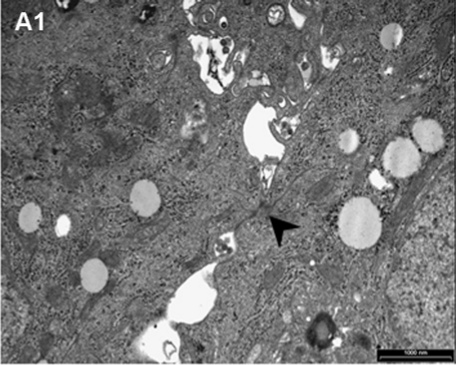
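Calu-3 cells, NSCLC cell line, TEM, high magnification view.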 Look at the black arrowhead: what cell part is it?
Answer: Adherence junction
